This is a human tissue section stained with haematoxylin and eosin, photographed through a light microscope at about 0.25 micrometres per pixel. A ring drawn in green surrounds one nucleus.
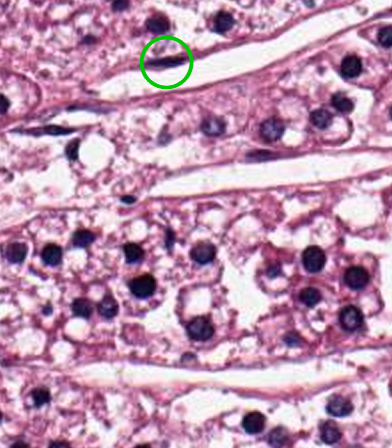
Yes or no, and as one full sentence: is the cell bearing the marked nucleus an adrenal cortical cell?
No, it is not an adrenal cortical cell that owns the marked nucleus but a supporting cell.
